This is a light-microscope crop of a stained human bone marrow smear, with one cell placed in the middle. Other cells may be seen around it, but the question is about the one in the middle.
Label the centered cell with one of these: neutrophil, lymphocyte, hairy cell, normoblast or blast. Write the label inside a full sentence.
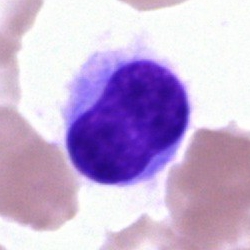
The cell centered in this field of view is a hairy cell.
